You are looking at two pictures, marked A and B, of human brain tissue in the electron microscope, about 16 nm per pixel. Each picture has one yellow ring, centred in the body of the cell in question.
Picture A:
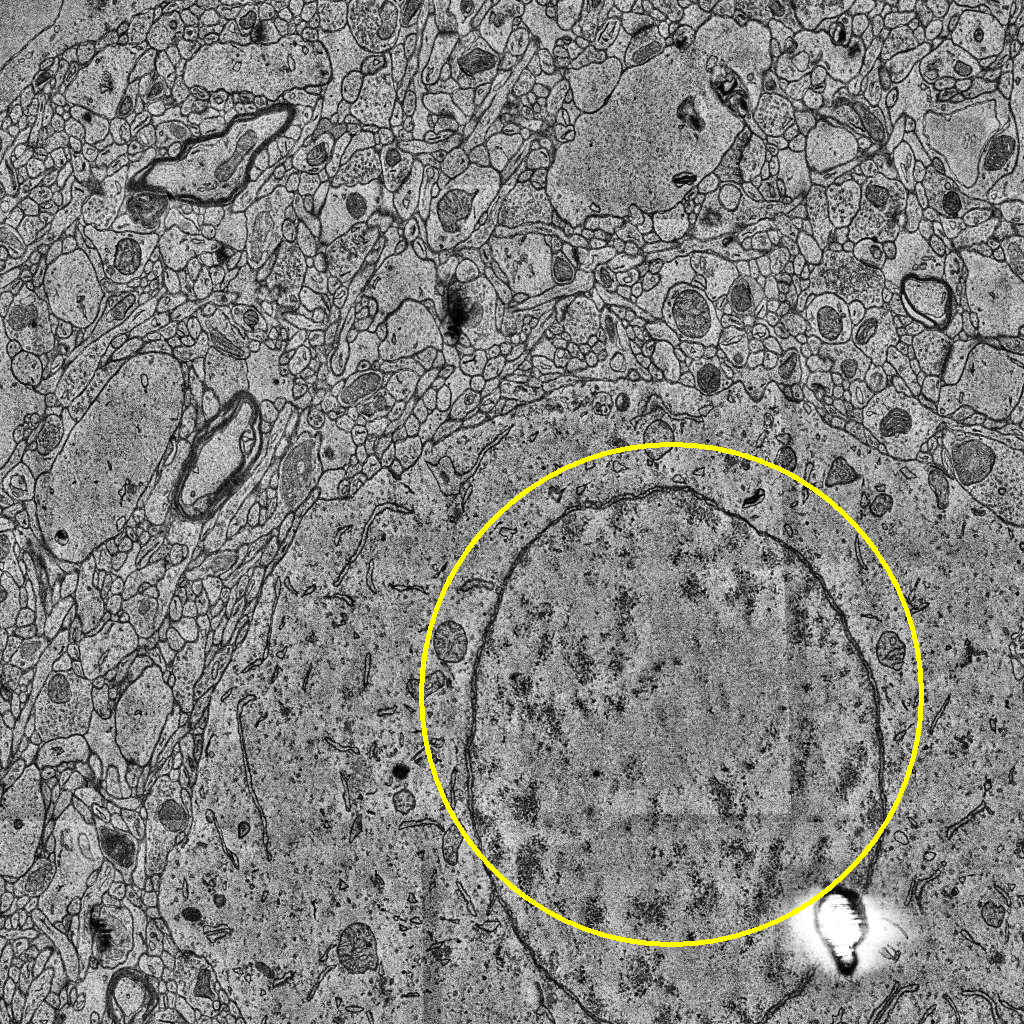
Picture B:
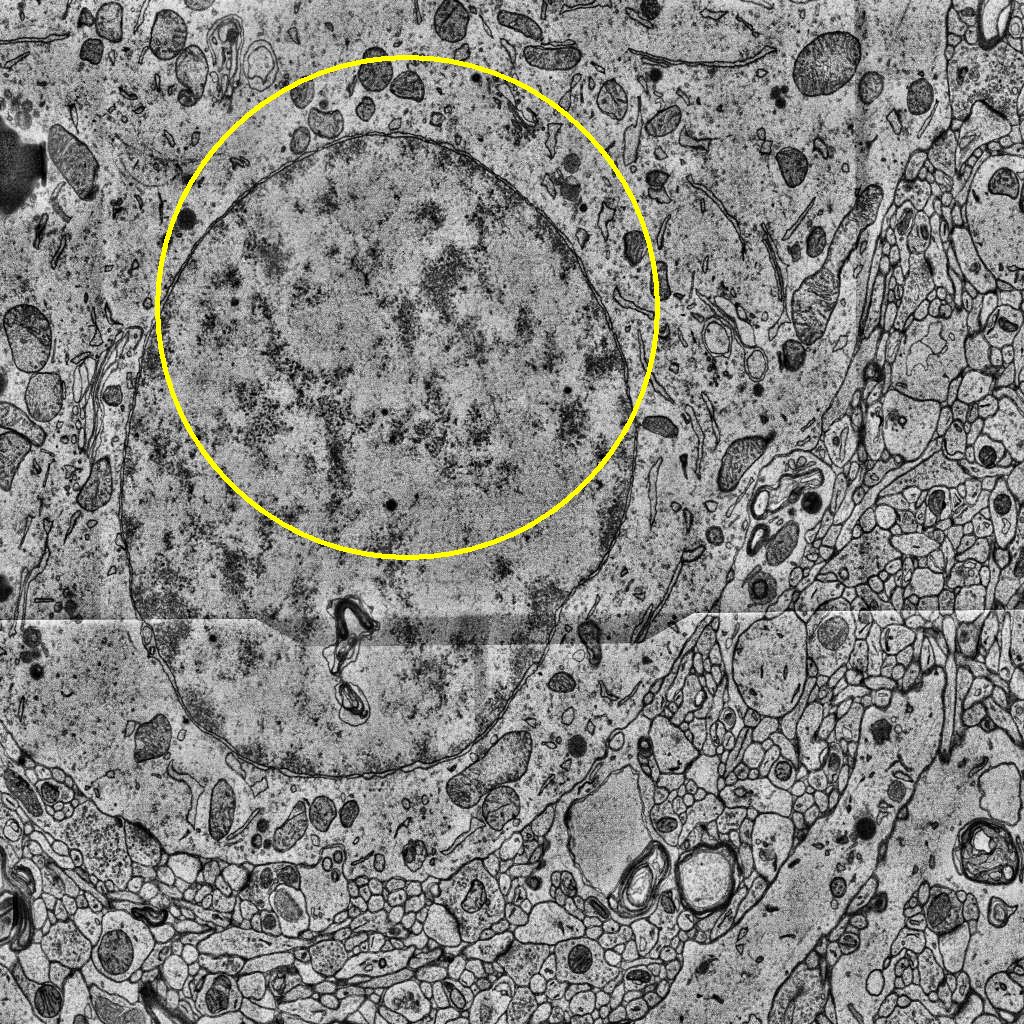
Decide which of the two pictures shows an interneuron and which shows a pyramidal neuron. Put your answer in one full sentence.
Picture B shows an interneuron, while picture A shows a pyramidal neuron.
